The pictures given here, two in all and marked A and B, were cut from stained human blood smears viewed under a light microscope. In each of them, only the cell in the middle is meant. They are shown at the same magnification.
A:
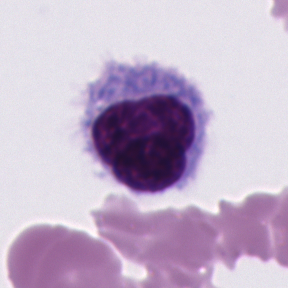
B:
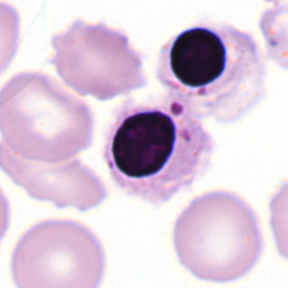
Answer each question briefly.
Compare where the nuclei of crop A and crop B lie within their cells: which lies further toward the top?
B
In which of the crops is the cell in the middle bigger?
A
